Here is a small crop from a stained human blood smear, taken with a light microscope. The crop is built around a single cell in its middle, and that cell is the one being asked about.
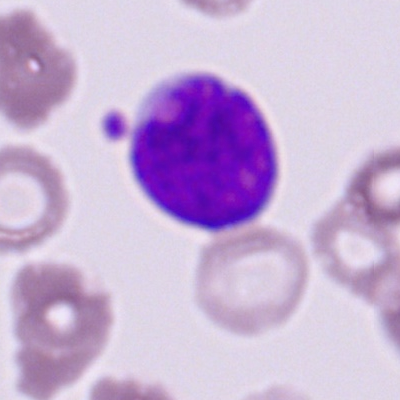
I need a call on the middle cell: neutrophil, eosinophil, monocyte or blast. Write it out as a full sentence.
Here the cell in the middle is a blast.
